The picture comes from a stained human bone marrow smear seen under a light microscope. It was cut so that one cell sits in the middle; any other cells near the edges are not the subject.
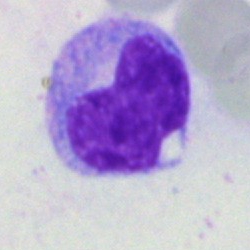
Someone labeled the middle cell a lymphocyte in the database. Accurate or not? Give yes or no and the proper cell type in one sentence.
No, it is a monocyte that sits in the middle, not a lymphocyte.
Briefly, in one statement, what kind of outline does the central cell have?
Its outline is smooth, with no projections anywhere along the edge.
